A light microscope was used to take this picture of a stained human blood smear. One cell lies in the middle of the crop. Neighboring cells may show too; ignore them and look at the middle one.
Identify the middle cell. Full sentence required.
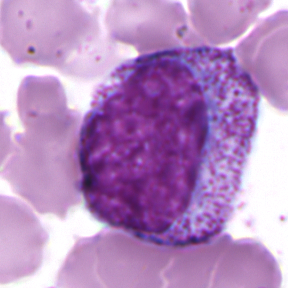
The cell that lies at the centre of the crop is a promyelocyte.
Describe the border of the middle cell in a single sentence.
The edge of the cell is unbroken and smooth, bearing no projections.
